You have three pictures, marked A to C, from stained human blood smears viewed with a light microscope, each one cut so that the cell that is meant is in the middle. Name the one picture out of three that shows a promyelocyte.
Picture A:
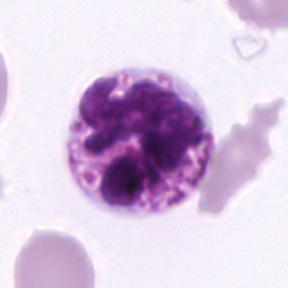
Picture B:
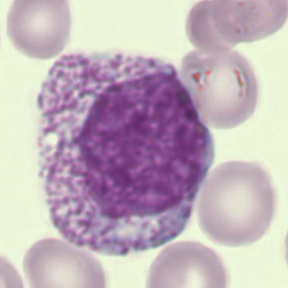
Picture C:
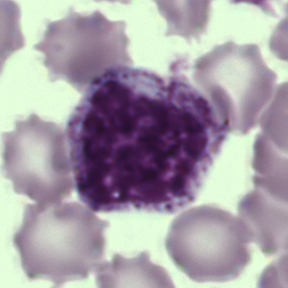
B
